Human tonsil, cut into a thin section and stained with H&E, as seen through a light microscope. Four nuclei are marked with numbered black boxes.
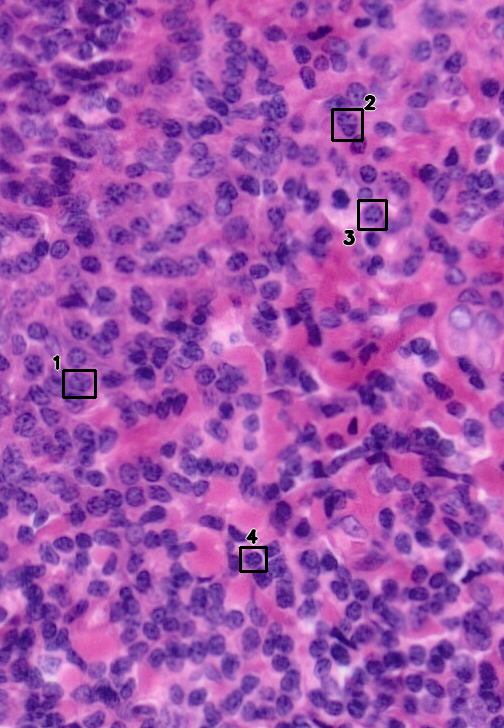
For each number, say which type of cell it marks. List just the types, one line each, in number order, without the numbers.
plasma cell
plasma cell
plasma cell
small lymphocyte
